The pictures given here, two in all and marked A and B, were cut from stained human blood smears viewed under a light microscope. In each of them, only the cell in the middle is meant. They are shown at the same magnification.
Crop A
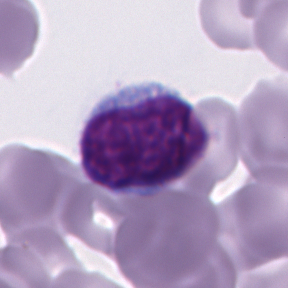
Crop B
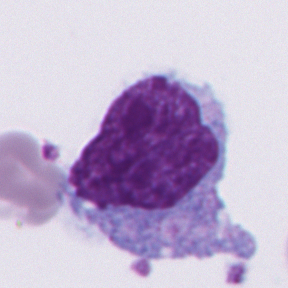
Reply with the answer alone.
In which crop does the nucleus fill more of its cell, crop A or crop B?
A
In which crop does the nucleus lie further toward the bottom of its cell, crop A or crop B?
A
